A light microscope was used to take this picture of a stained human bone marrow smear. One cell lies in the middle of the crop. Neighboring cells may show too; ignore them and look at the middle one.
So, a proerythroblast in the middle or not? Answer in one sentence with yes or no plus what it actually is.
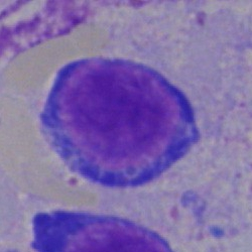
Yes, the cell found in the center of the crop is a proerythroblast.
